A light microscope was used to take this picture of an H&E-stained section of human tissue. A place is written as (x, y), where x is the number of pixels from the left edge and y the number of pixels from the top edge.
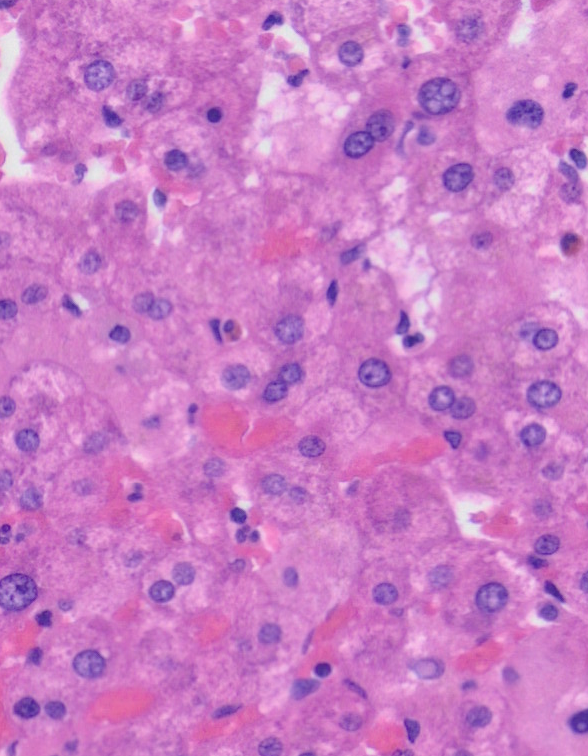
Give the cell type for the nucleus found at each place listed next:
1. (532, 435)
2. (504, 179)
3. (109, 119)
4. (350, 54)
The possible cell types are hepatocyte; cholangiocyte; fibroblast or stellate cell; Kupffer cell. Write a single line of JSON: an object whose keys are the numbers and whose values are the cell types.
{"1": "hepatocyte", "2": "hepatocyte", "3": "fibroblast or stellate cell", "4": "hepatocyte"}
